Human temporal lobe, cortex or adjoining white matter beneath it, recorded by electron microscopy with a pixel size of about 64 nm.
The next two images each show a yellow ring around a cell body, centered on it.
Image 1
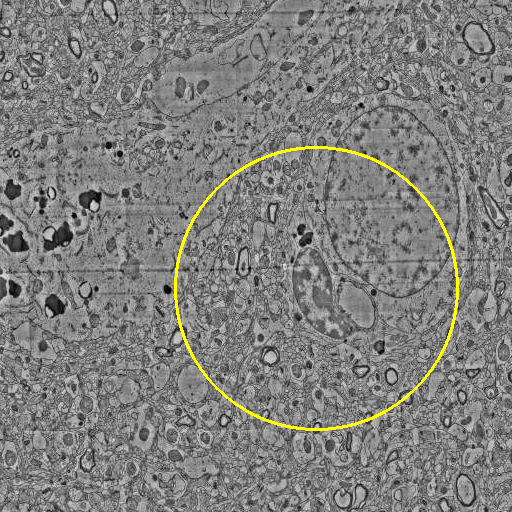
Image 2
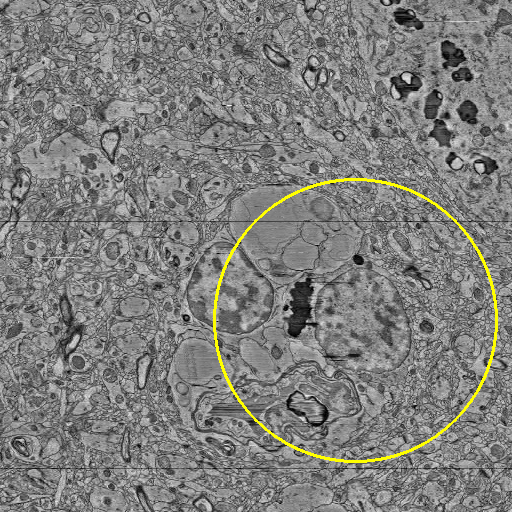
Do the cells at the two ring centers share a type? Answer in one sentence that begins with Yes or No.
No, across the two images the cells at the ring centers are of two types.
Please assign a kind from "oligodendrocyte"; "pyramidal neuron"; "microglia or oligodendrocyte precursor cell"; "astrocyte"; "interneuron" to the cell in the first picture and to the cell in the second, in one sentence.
In the first picture we have a microglial cell or oligodendrocyte precursor cell, and in the second, an oligodendrocyte.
